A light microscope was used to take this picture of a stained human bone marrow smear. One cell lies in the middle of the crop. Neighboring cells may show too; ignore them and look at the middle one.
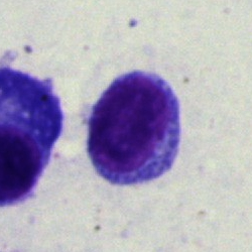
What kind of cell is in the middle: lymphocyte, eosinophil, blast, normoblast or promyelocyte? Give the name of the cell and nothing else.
lymphocyte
